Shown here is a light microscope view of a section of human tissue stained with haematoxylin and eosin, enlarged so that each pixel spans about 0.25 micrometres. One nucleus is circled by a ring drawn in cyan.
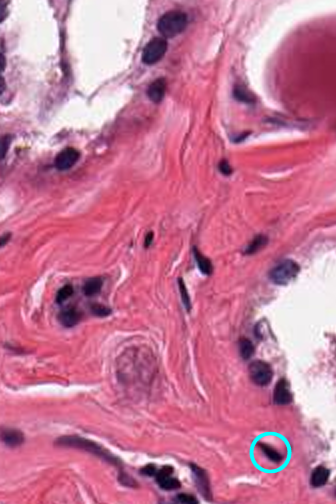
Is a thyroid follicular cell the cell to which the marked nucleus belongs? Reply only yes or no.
no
